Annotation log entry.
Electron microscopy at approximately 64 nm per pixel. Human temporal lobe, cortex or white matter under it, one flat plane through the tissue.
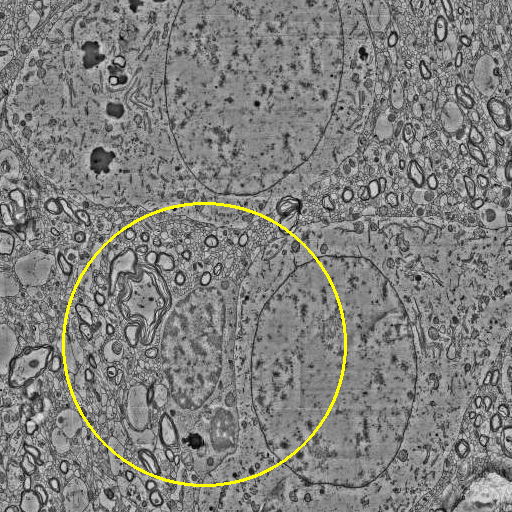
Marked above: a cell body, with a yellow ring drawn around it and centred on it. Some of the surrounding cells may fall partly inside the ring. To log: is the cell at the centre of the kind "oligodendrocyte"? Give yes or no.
Yes, the cell at the centre is of that kind.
